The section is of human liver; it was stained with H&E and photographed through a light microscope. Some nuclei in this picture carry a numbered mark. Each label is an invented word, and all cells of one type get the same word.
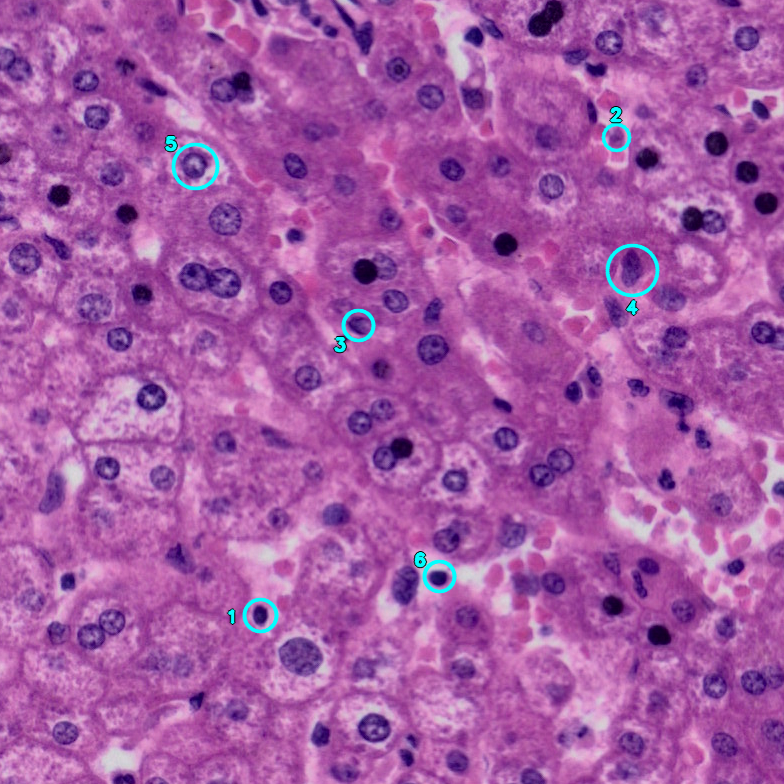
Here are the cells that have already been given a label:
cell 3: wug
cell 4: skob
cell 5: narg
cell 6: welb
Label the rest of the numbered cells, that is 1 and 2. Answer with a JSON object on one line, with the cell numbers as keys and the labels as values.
{"1": "welb", "2": "skob"}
